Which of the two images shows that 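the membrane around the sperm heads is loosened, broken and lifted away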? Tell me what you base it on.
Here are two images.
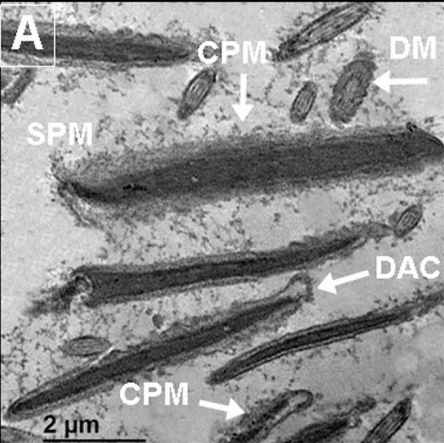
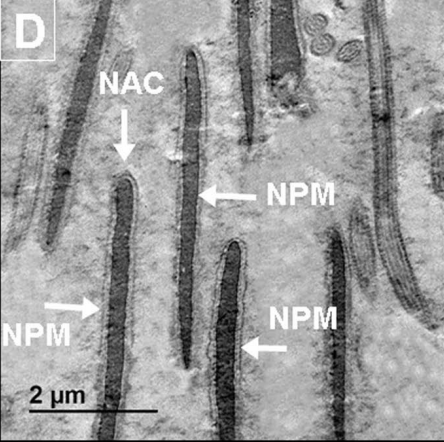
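Second image: sperm heads have smooth, even outlines with the membrane closely applied. First image: sperm heads are surrounded by ragged, fuzzy, detached membrane material and irregular swellings at the tips. On this evidence: the first image.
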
